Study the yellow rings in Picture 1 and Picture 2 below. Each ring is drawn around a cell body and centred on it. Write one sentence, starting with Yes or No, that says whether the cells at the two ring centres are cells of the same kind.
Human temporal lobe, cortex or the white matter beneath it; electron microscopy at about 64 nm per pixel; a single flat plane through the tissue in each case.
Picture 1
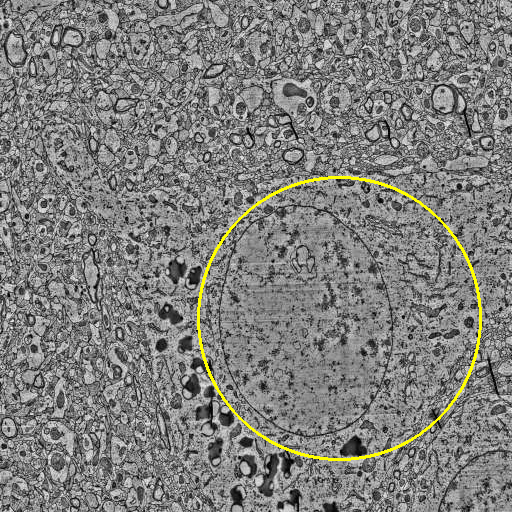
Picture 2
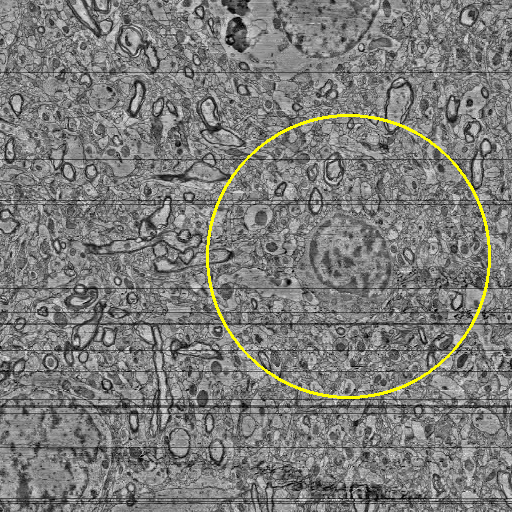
No, the cells at the ring centres are of two kinds.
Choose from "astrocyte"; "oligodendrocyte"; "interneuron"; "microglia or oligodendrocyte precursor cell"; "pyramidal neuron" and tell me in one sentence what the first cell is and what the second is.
What the first ring is centred on is a pyramidal neuron; what the second ring is centred on is an oligodendrocyte.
